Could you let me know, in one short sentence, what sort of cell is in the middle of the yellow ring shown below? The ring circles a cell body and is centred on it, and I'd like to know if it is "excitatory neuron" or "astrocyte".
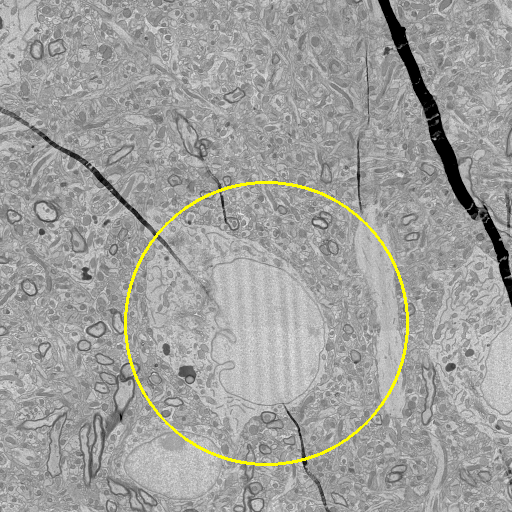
The ring circles the cell body of an excitatory neuron.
